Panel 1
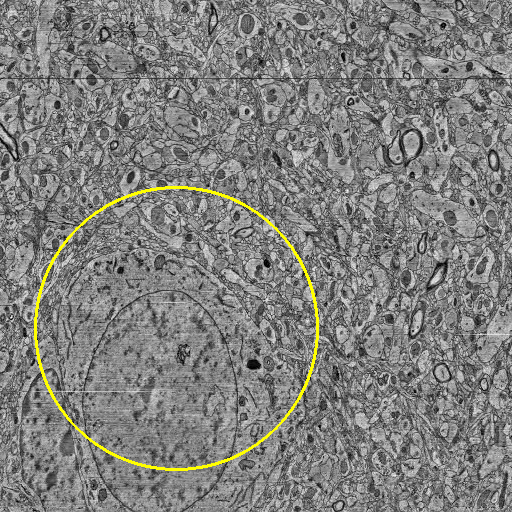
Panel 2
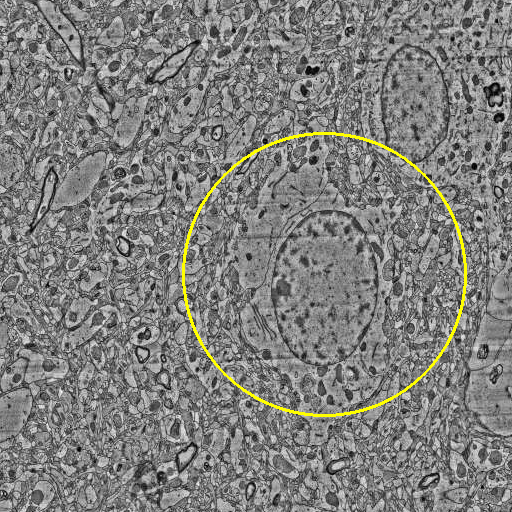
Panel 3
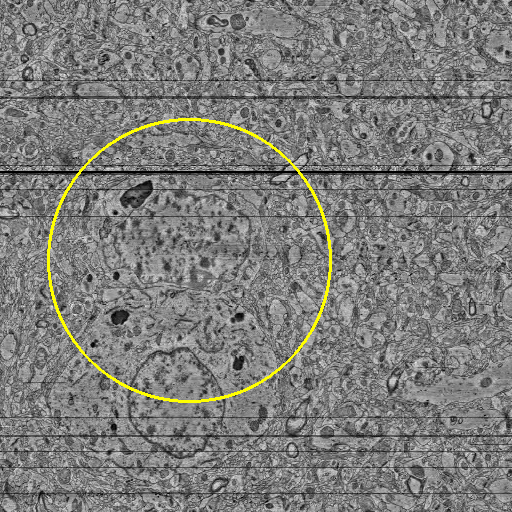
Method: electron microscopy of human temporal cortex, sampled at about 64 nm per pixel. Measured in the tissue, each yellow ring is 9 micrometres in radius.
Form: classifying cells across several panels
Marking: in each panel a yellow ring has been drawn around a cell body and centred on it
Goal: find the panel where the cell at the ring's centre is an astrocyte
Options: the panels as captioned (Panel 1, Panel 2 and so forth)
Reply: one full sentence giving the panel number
Panel 2 shows the wanted cell at the centre of its ring.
